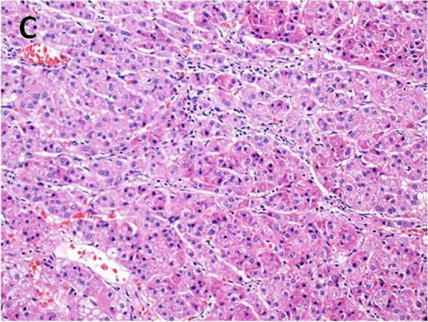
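Tumor tissue made of closely packed polygonal epithelioid cells arranged in nests, cords and sheets. Cells have abundant pink, finely granular to slightly clear cytoplasm and distinct cell borders. Nuclei are round, small to medium, centrally placed, dark purple, fairly uniform, some with small nucleoli. Nests are separated by delicate fibrovascular septa carrying thin capillaries, some filled with red blood cells, and scattered small dark lymphocyte-like nuclei. No gland lumens, necrosis or marked nuclear pleomorphism are evident; the pattern is solid and monotonous.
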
